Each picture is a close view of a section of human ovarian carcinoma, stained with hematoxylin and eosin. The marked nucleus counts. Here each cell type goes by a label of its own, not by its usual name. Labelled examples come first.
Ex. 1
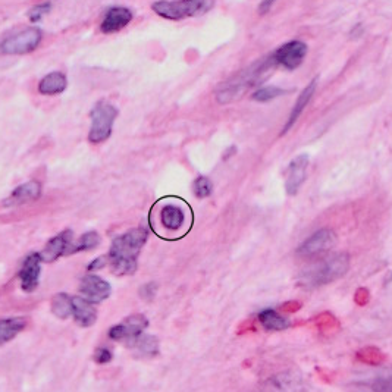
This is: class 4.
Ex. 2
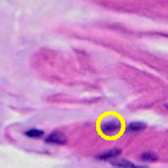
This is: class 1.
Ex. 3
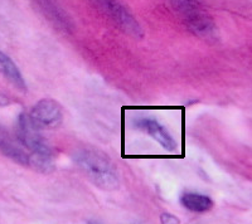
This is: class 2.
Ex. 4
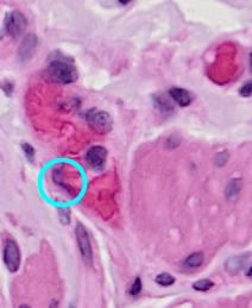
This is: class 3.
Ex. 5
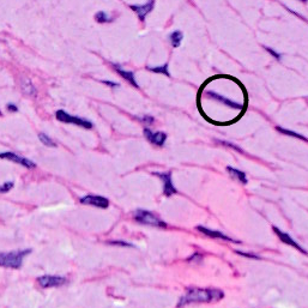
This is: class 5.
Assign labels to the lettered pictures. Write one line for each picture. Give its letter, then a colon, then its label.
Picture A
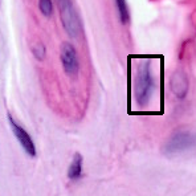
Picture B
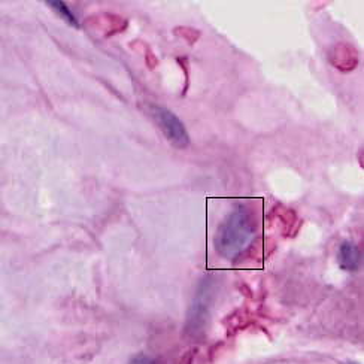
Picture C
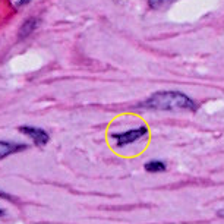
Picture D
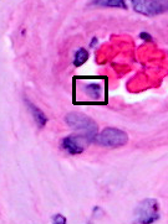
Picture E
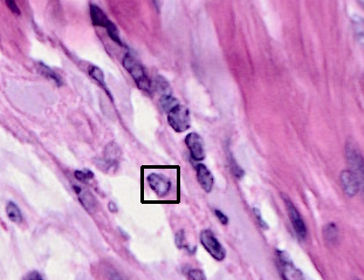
A: class 3.
B: class 3.
C: class 5.
D: class 3.
E: class 2.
